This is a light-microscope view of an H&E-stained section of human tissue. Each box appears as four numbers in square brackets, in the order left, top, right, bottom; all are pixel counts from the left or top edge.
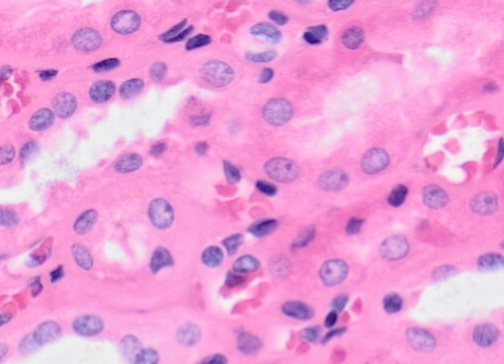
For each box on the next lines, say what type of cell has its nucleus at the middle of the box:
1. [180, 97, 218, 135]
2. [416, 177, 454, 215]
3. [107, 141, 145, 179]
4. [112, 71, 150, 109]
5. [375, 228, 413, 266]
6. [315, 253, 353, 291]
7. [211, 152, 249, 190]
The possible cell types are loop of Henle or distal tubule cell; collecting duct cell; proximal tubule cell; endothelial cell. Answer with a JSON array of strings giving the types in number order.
["loop of Henle or distal tubule cell", "proximal tubule cell", "loop of Henle or distal tubule cell", "loop of Henle or distal tubule cell", "proximal tubule cell", "proximal tubule cell", "endothelial cell"]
